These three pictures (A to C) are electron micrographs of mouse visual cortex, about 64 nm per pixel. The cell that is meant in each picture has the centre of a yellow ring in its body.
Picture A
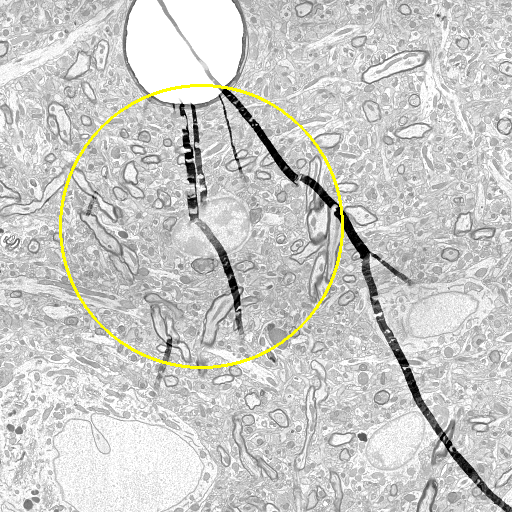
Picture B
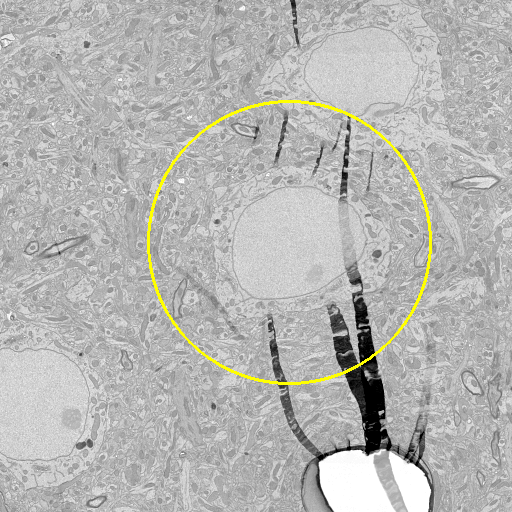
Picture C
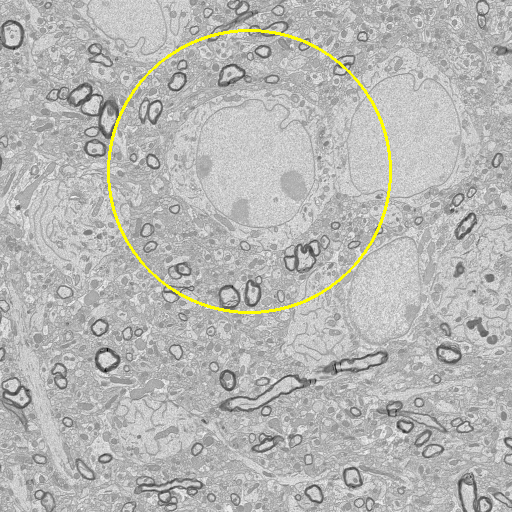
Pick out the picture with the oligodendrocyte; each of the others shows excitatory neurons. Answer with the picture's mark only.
A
